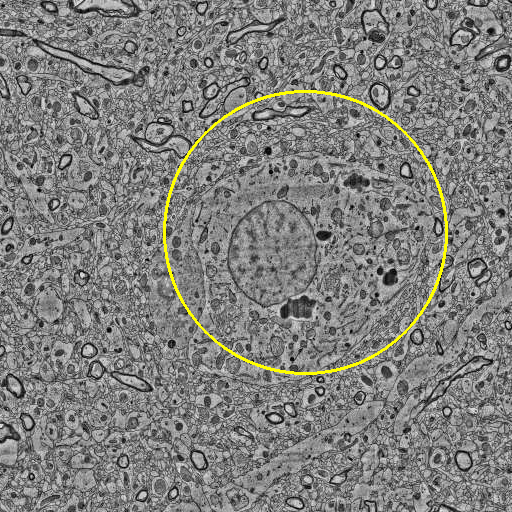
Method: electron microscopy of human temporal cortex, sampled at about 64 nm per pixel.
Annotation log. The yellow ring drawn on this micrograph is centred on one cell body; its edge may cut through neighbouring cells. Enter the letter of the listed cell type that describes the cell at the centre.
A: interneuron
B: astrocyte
A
